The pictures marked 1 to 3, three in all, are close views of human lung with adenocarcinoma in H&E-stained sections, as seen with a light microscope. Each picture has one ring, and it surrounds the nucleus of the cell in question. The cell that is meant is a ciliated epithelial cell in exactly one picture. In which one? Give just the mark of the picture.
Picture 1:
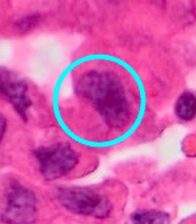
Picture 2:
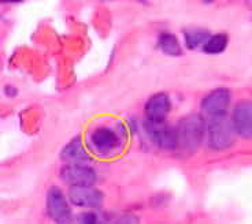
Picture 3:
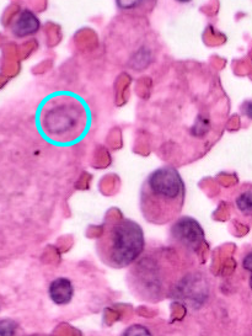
2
